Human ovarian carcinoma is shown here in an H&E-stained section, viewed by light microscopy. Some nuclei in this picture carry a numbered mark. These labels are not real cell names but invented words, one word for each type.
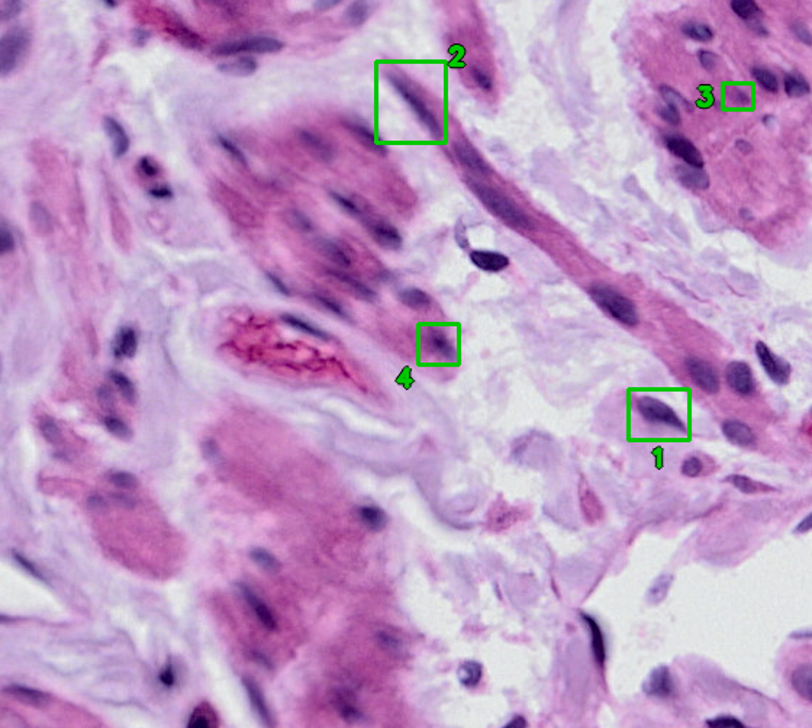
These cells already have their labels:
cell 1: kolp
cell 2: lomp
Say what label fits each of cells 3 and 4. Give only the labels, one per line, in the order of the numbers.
lomp
lomp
